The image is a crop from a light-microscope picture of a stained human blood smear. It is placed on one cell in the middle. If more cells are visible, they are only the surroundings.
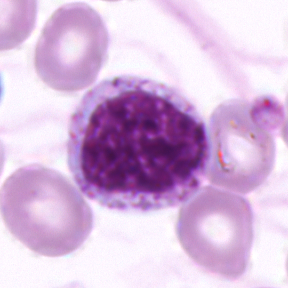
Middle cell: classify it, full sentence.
For this crop, the cell in the middle is a metamyelocyte.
